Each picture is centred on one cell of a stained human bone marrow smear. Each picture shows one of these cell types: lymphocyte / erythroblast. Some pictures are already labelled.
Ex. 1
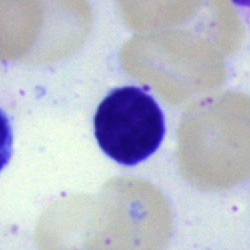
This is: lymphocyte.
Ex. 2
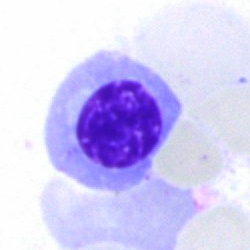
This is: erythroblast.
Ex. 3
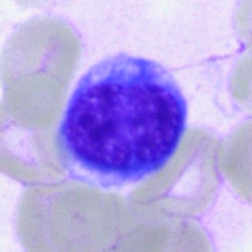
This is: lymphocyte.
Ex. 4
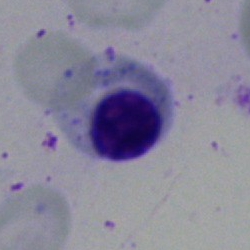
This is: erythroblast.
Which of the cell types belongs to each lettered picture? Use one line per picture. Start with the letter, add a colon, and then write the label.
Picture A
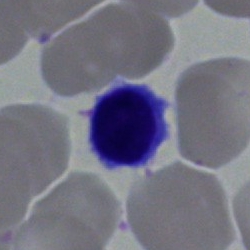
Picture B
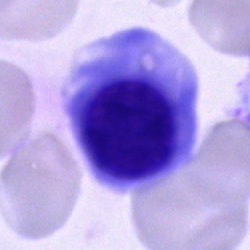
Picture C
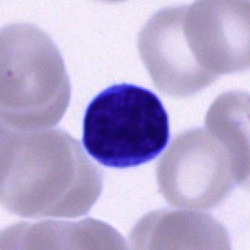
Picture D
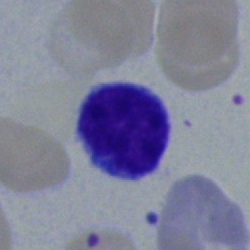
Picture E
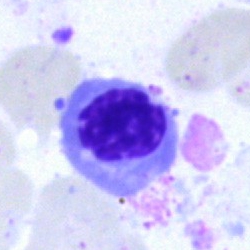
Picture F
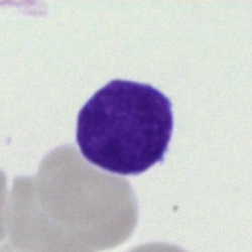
A: lymphocyte.
B: erythroblast.
C: lymphocyte.
D: lymphocyte.
E: erythroblast.
F: lymphocyte.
